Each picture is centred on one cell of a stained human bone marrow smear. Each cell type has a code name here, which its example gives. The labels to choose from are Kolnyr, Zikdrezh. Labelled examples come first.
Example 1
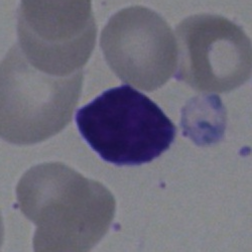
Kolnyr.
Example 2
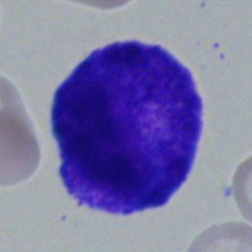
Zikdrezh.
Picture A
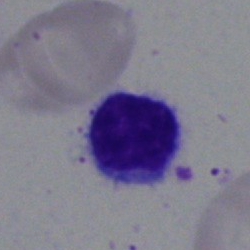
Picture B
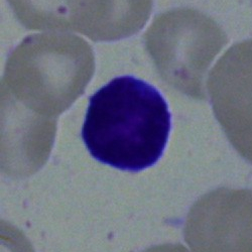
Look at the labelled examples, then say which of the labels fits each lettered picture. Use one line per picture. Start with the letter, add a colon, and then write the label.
A: Kolnyr.
B: Kolnyr.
